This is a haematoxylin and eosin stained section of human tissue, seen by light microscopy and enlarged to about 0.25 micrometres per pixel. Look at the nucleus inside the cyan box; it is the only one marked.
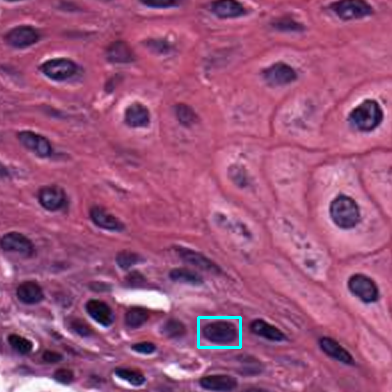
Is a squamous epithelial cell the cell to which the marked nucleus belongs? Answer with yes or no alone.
yes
